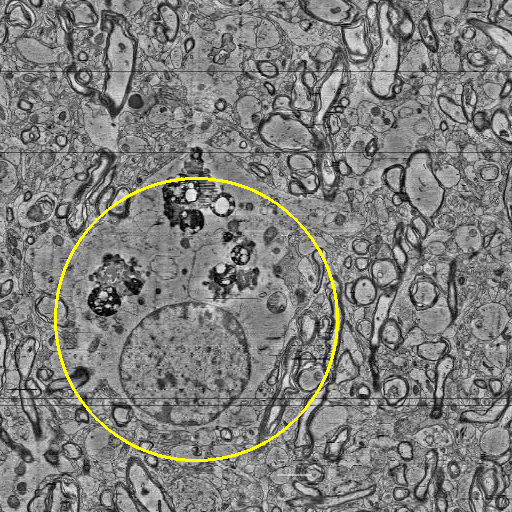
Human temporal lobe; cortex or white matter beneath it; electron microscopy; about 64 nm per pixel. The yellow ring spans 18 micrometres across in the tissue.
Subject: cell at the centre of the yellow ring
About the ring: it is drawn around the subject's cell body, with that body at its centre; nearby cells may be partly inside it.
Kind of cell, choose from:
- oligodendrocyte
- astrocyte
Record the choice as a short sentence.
The subject cell is an astrocyte.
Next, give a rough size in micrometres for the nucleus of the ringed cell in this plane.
About 8 micrometres across in this plane.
